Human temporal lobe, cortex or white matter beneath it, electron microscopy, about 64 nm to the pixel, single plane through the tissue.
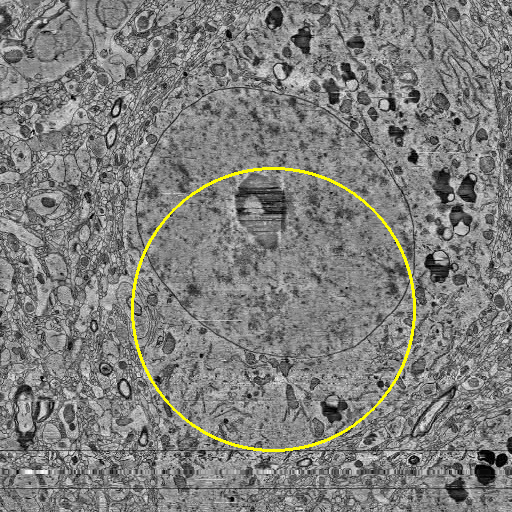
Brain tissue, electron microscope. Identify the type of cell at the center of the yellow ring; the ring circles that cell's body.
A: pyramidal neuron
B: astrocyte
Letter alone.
A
